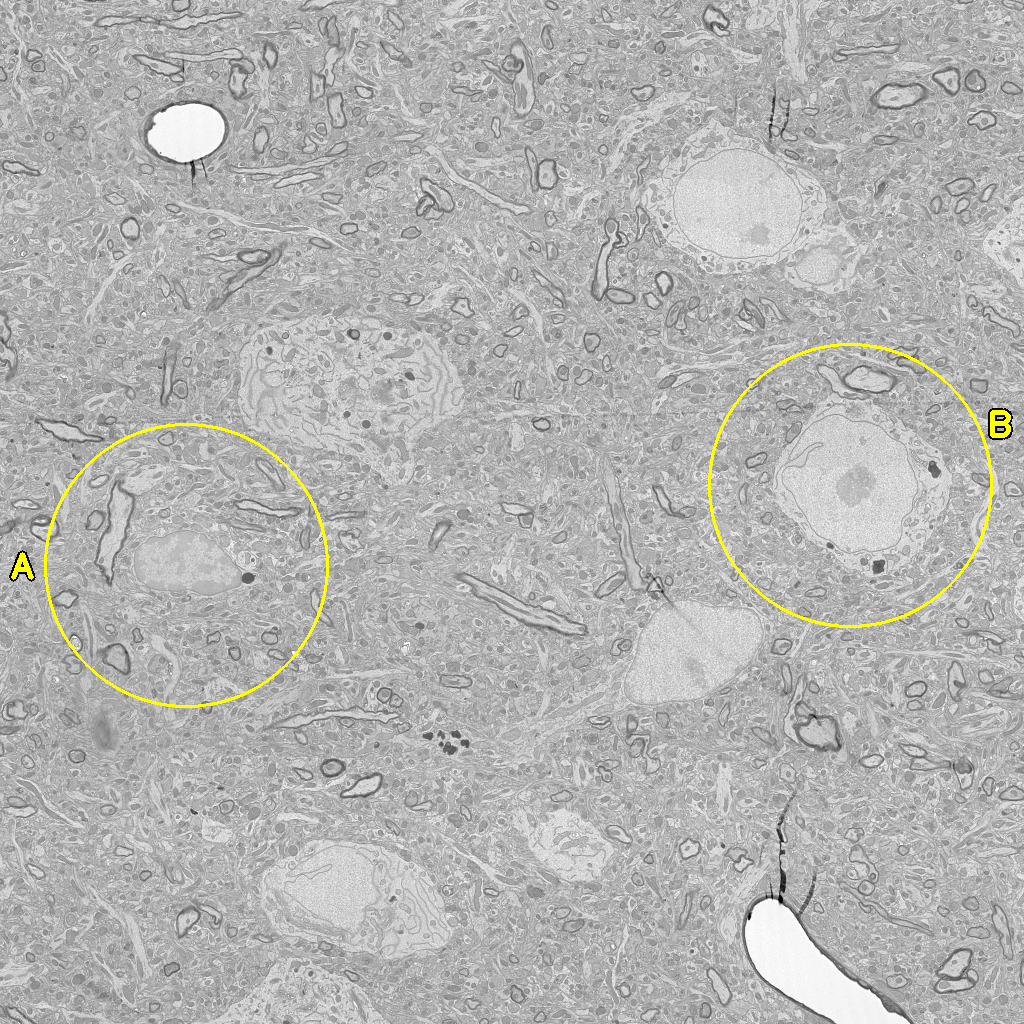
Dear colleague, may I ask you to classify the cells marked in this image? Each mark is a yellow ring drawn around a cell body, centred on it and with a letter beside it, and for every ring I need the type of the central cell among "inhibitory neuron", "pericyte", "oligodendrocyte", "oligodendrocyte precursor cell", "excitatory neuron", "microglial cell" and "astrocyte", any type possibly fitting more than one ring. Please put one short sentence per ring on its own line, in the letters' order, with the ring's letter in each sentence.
Ring A contains a microglial cell at its centre.
Ring B contains an excitatory neuron at its centre.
